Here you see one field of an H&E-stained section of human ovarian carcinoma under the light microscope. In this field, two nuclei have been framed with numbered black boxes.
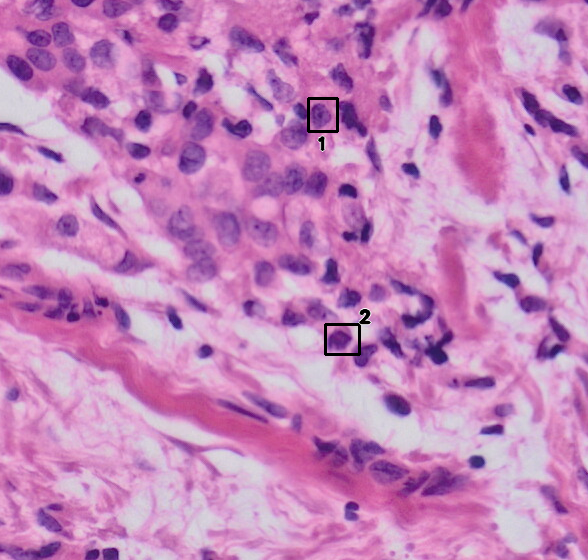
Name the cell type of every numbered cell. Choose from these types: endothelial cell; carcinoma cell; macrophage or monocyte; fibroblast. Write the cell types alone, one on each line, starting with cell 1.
macrophage or monocyte
carcinoma cell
